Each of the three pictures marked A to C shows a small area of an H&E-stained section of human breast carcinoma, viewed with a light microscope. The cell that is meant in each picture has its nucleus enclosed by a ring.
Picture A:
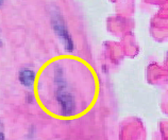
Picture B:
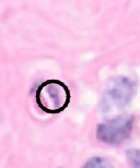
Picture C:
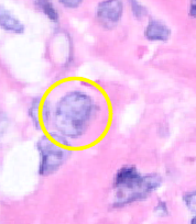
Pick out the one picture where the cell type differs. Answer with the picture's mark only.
C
